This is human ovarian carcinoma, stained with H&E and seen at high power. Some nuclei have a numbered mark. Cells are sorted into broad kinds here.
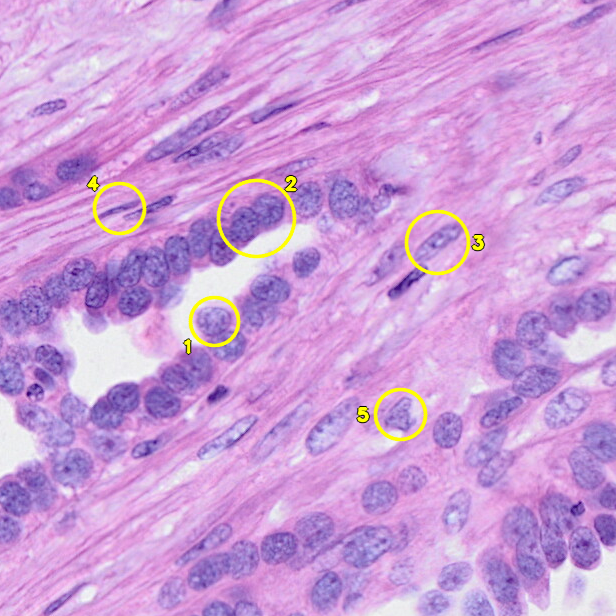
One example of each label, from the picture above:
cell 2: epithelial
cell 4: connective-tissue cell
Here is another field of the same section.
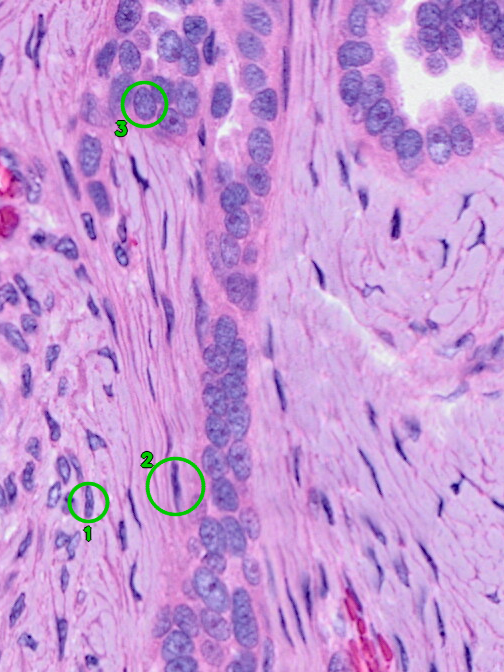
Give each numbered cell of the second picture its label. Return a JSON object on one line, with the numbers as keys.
{"1": "connective-tissue cell", "2": "connective-tissue cell", "3": "epithelial"}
